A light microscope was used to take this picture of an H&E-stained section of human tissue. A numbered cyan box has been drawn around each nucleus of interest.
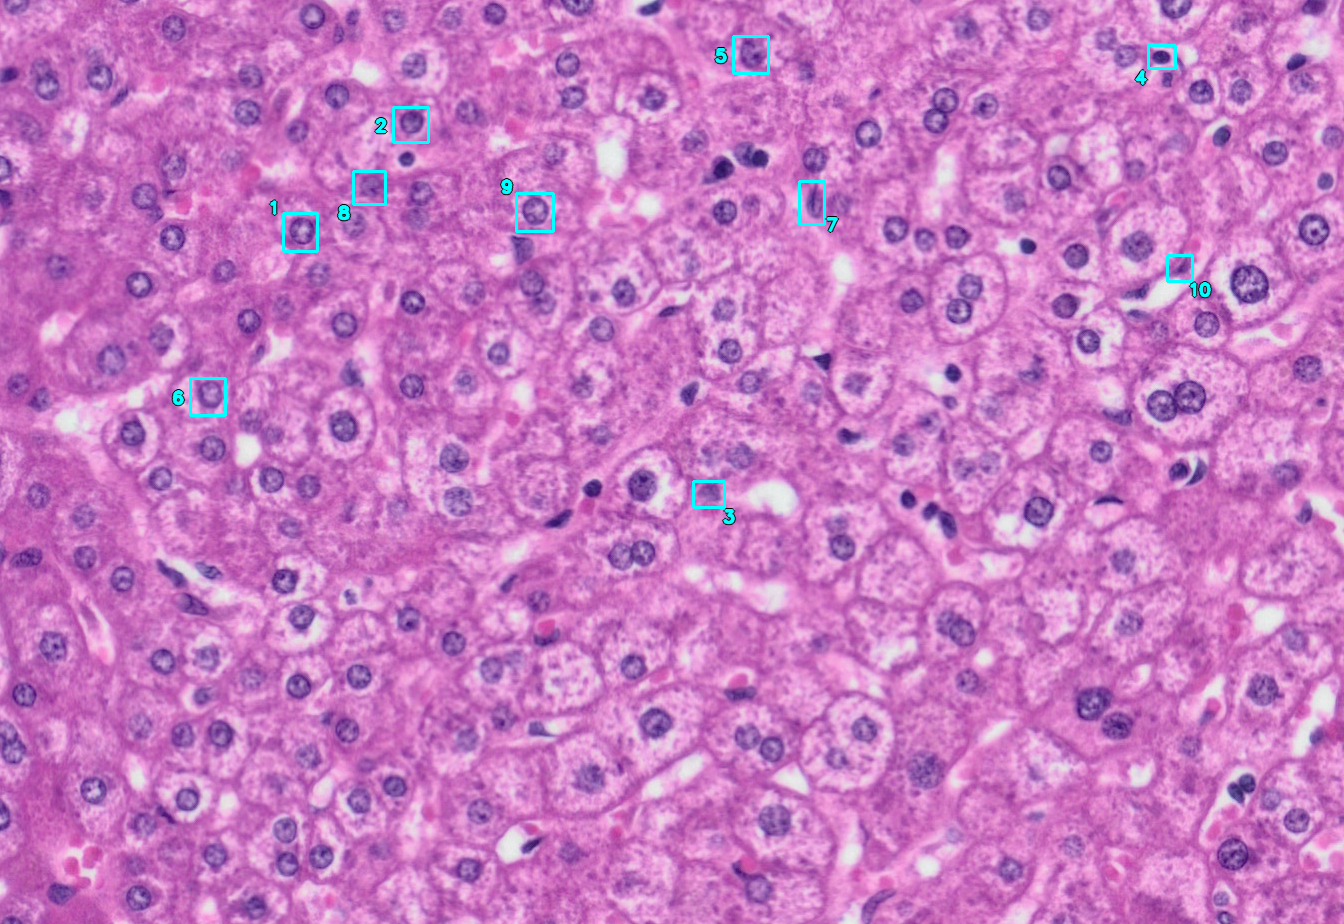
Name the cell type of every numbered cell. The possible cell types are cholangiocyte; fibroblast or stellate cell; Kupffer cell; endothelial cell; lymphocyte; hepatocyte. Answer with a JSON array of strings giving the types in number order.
["hepatocyte", "hepatocyte", "endothelial cell", "lymphocyte", "hepatocyte", "hepatocyte", "endothelial cell", "hepatocyte", "hepatocyte", "Kupffer cell"]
